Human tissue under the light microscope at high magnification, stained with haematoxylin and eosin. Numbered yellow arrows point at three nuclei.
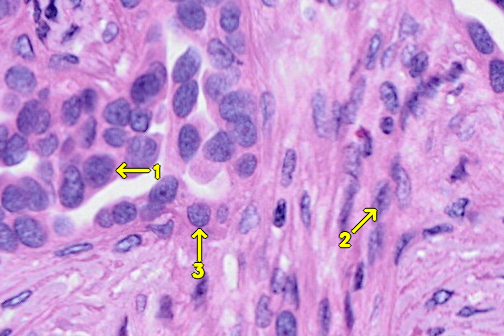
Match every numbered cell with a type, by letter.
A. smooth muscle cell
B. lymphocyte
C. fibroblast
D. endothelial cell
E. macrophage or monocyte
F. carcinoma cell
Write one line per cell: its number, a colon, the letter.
1: F
2: C
3: F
